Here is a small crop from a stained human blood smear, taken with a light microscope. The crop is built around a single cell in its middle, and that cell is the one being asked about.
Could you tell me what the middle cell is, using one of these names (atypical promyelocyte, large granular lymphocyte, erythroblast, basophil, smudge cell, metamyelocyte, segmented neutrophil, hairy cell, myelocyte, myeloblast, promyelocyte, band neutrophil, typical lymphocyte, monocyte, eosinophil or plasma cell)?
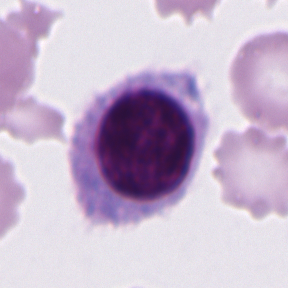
hairy cell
